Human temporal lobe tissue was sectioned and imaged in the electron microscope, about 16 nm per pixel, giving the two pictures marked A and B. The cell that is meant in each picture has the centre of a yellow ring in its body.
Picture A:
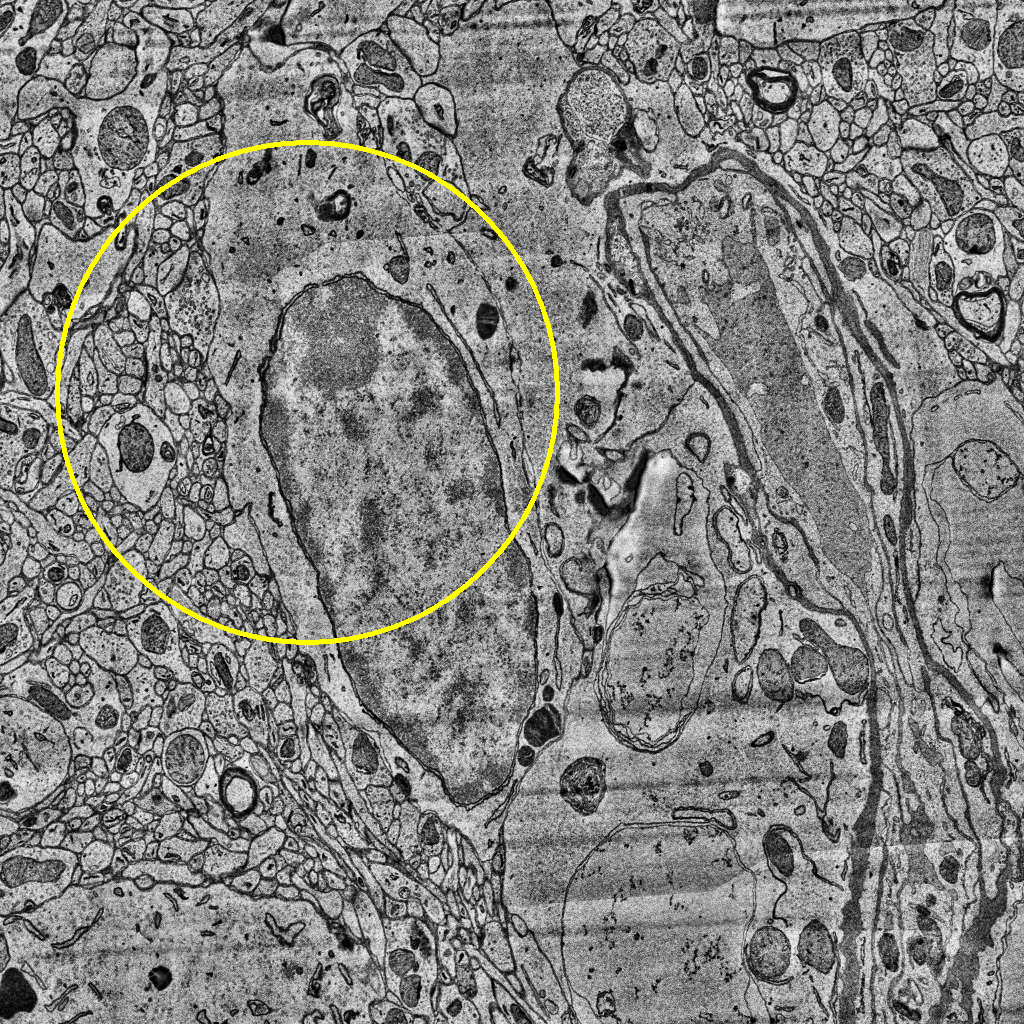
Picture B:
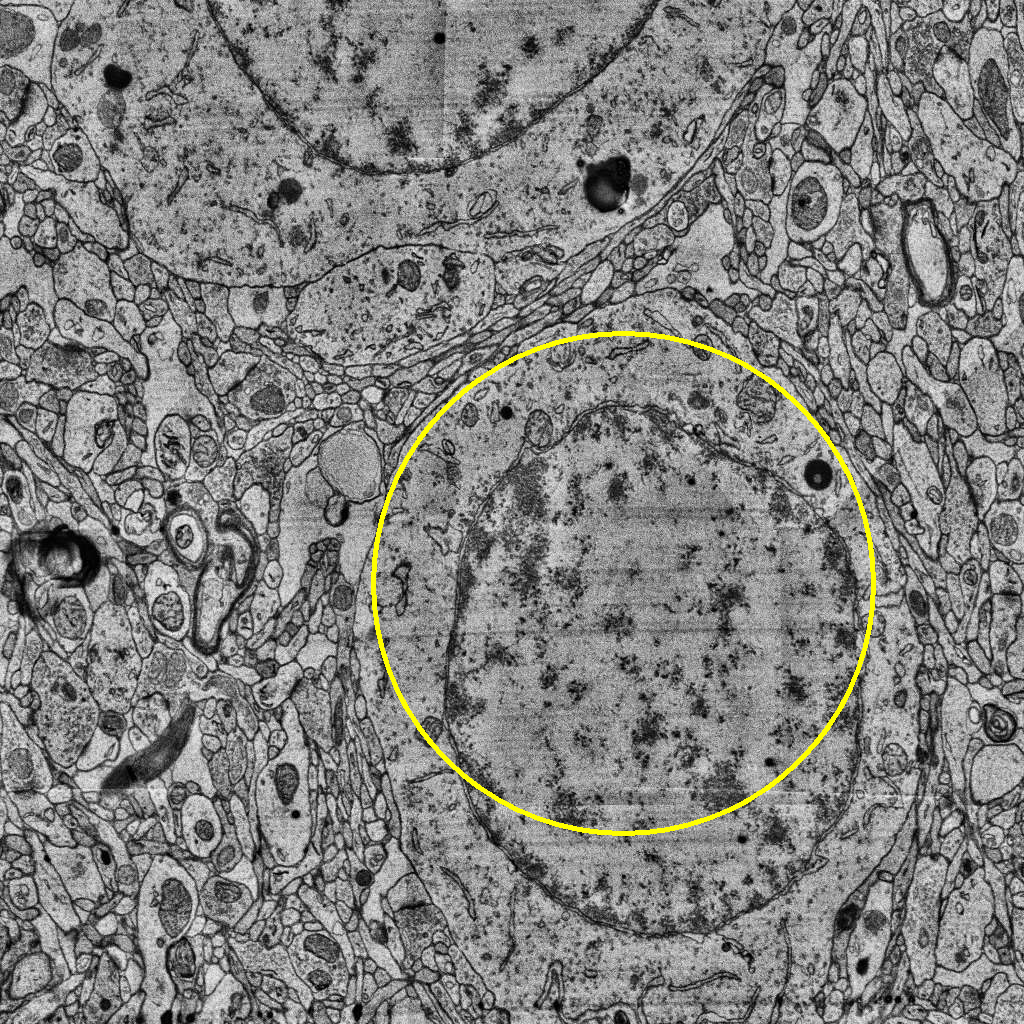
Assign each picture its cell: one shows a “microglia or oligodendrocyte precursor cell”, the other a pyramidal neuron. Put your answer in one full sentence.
It is picture A that shows a “microglia or oligodendrocyte precursor cell”, and picture B that shows a pyramidal neuron.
